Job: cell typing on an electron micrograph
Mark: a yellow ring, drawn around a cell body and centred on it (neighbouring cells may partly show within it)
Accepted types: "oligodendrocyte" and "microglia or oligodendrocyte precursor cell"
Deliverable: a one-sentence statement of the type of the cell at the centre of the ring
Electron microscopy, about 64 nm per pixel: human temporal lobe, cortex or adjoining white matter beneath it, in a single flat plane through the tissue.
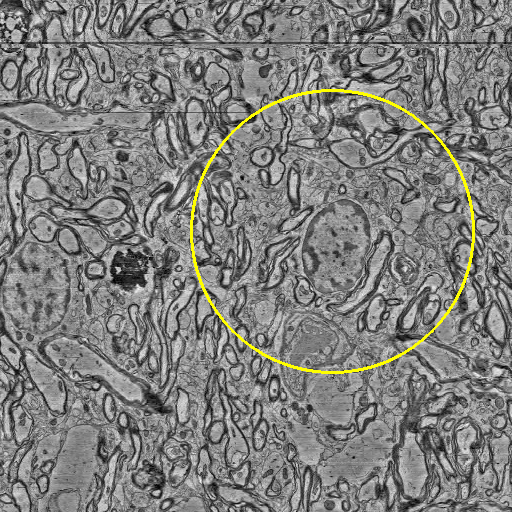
The centred cell body is that of a microglial cell or oligodendrocyte precursor cell.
